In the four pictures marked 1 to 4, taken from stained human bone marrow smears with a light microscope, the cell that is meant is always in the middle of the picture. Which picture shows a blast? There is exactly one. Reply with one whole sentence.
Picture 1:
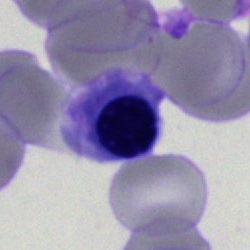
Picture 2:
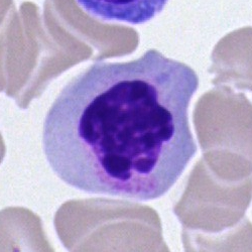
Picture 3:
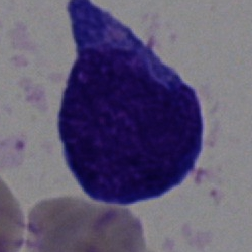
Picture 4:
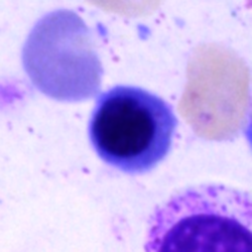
The cell in picture 3 is the blast.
